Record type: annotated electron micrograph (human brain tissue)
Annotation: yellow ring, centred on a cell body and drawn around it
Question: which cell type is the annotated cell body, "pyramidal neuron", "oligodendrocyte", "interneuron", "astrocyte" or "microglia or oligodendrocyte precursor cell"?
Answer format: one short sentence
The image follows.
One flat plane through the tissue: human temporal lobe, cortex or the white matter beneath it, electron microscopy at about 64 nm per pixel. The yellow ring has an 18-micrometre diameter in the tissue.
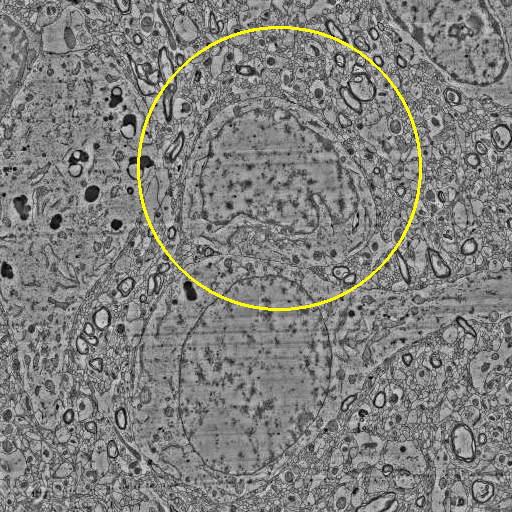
The annotated cell body is that of an interneuron.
